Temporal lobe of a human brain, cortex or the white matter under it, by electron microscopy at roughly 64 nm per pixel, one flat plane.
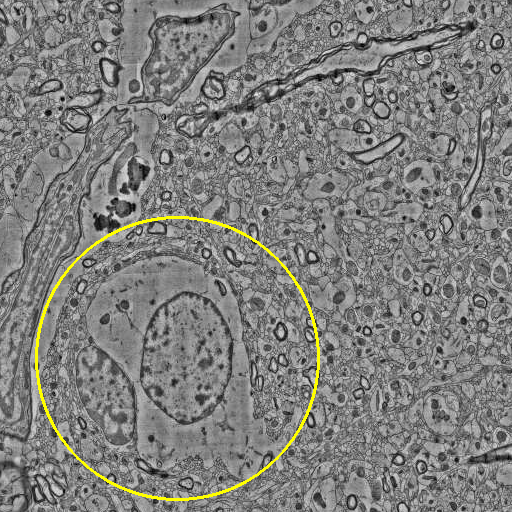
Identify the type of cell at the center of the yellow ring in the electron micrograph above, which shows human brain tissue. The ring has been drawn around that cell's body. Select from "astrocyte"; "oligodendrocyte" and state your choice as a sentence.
The yellow ring is centered on the body of an astrocyte.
